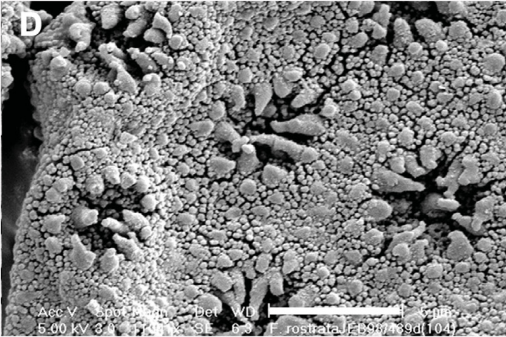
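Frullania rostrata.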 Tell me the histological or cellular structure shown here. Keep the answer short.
Spore surface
